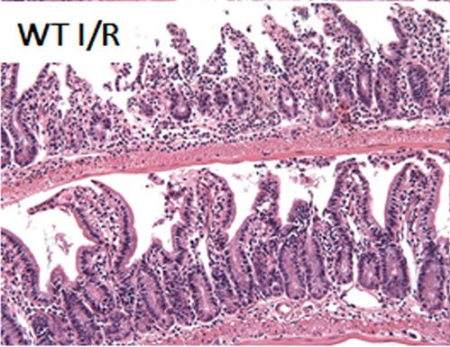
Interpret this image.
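Two segments of intestinal wall are seen, each with a mucosa of villi above a thin pink muscle layer. The villi are short and blunt, with ragged, frayed tips. The surface epithelium is lost or lifted away at many tips, leaving exposed cores crowded with dark-nucleated cells. The crypts at the base remain recognisable as glands lined by cells with purple nuclei. Loose cellular debris lies between the damaged villi.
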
